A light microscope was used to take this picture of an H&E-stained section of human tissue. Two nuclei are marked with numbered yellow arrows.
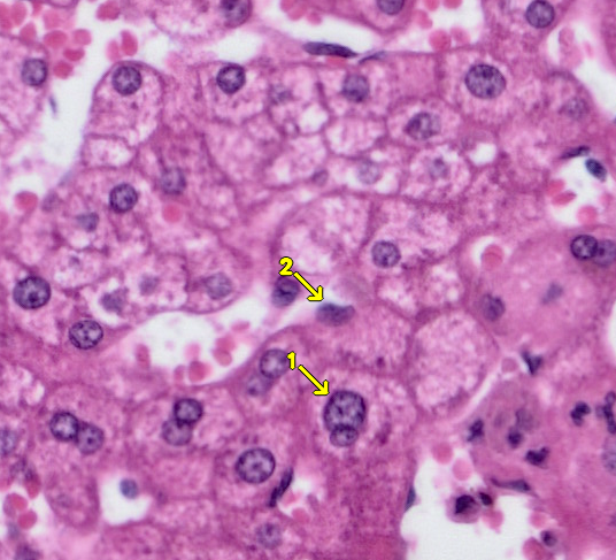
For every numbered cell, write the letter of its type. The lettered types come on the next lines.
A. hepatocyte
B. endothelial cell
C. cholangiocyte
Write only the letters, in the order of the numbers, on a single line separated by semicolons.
A; B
